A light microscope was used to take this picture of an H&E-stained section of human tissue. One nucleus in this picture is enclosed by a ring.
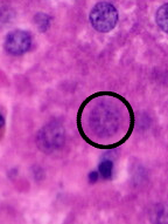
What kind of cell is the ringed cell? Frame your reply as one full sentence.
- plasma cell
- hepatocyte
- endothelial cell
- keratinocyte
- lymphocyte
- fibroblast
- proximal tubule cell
The identity of the ringed cell: it is a hepatocyte.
